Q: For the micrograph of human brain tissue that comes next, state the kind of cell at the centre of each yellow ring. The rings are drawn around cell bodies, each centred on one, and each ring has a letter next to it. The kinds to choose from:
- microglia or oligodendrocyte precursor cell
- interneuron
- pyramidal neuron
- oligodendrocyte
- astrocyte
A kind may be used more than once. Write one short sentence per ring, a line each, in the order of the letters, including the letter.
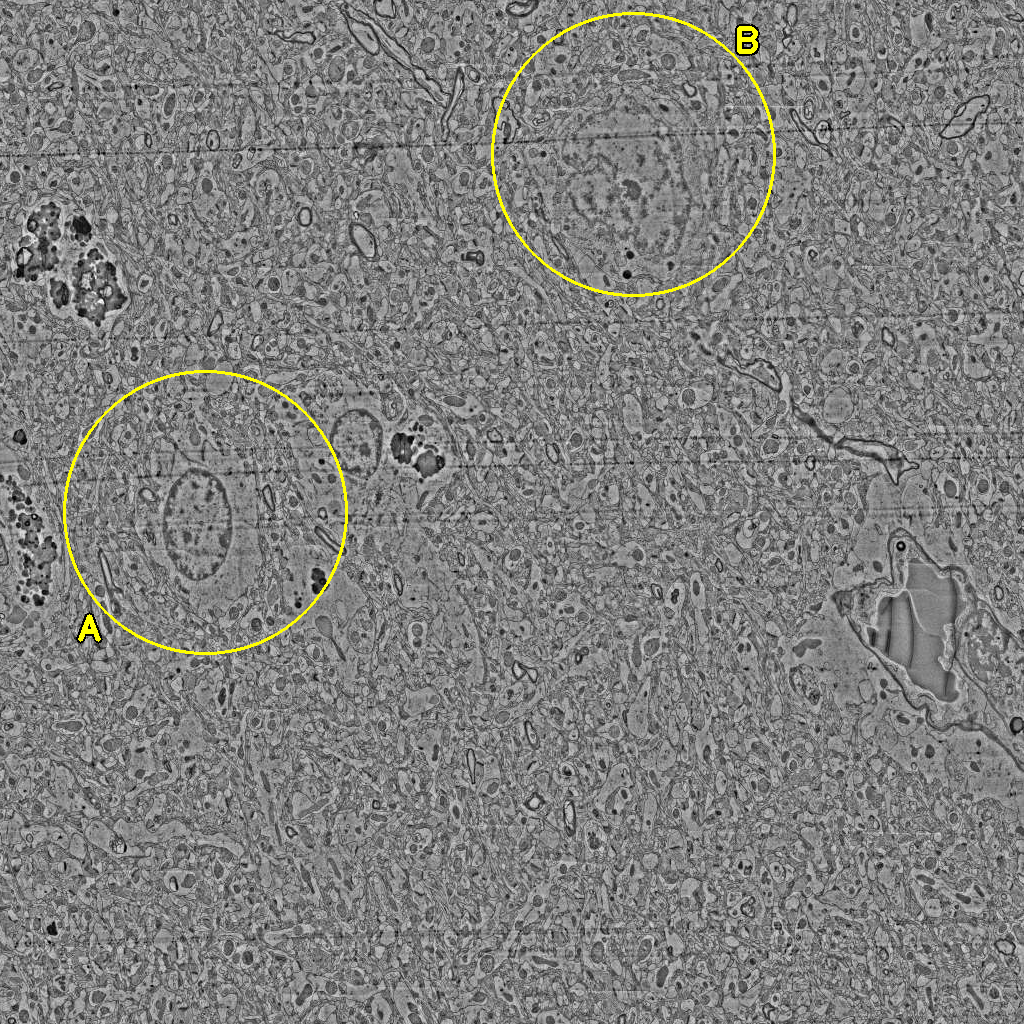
The cell ringed as A is an astrocyte.
The cell ringed as B is an interneuron.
